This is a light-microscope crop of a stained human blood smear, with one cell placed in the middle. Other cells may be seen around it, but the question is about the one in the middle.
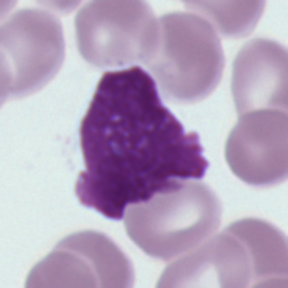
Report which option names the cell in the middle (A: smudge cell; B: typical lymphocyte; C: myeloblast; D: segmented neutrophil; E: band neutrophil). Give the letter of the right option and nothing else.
A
